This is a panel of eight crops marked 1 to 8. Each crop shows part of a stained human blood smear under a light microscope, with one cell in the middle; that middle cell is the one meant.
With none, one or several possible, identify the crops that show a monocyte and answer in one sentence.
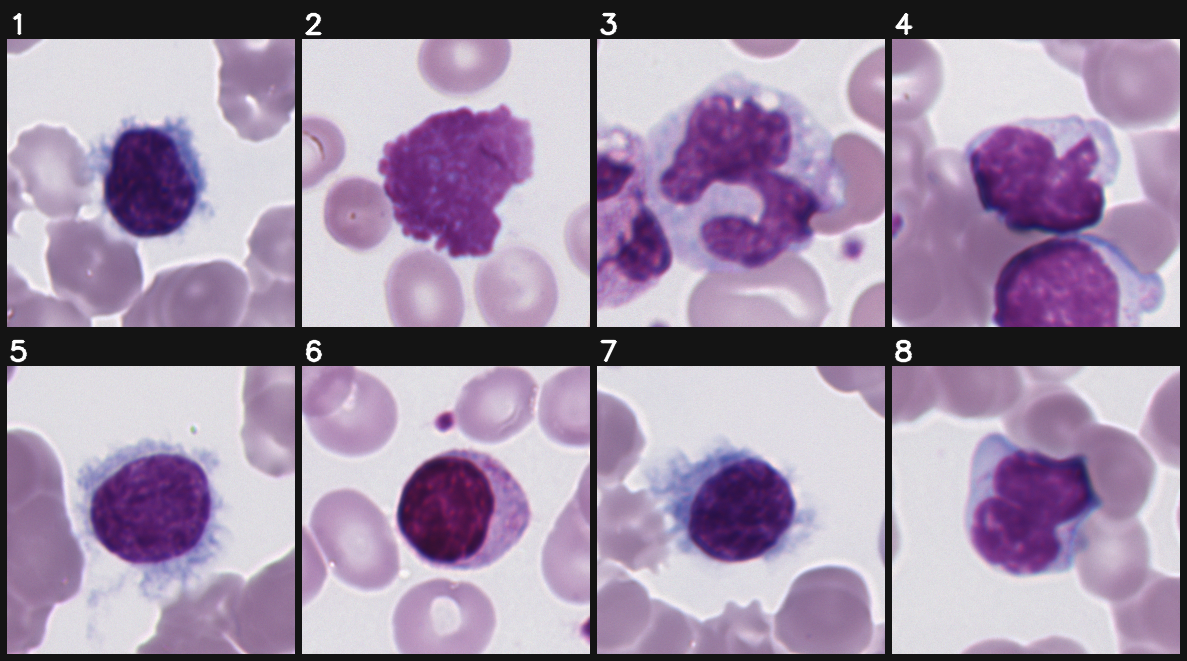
It is crop 3, and no other, that shows a monocyte.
